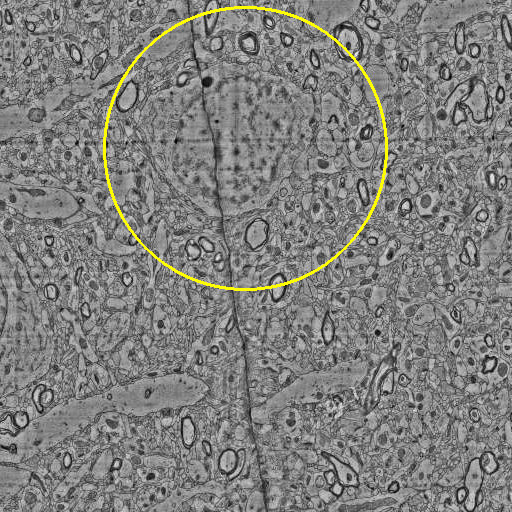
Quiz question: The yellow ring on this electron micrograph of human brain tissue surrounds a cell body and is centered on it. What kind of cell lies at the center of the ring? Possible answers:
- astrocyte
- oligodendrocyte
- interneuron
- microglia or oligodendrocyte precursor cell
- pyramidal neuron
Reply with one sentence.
The ring's center lies on an interneuron.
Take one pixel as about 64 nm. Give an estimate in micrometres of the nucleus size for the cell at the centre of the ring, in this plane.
In this plane the nucleus measures roughly 9 by 7 micrometers.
